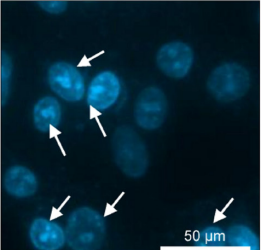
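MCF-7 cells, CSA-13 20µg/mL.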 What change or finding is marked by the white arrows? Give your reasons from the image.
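Morphological changes in nuclei. The arrowed nuclei are brighter blue than the unmarked ones. Some arrowed nuclei show uneven, clumped blue staining.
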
